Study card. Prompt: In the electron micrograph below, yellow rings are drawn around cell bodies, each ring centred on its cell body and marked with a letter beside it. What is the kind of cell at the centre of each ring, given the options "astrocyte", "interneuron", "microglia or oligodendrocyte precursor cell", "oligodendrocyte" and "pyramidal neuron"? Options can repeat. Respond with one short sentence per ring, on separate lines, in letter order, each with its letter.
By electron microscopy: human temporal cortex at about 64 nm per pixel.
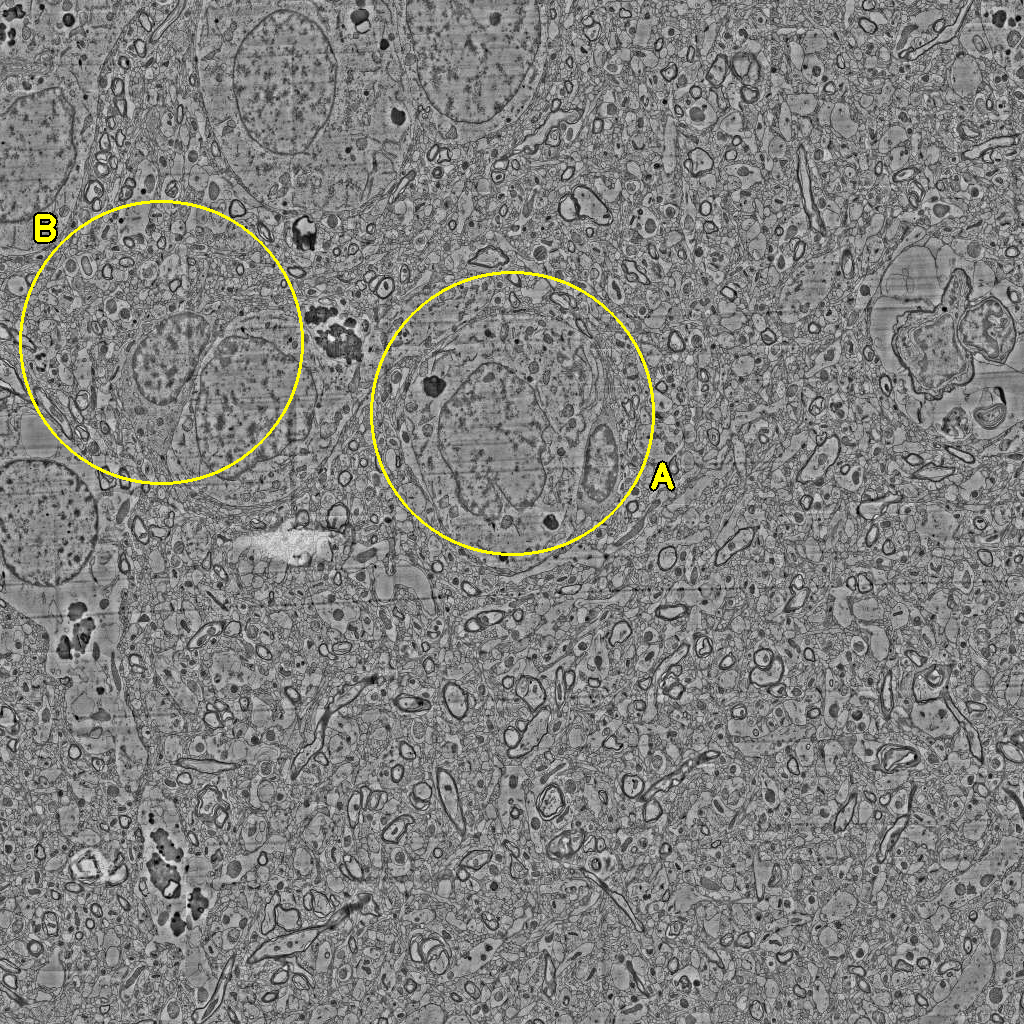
Ring A outlines a pyramidal neuron.
Ring B outlines an oligodendrocyte.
